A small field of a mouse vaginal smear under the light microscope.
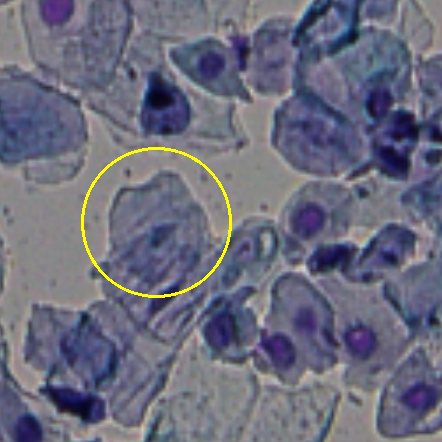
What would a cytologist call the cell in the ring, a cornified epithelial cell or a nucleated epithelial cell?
A cytologist would call it a cornified epithelial cell.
